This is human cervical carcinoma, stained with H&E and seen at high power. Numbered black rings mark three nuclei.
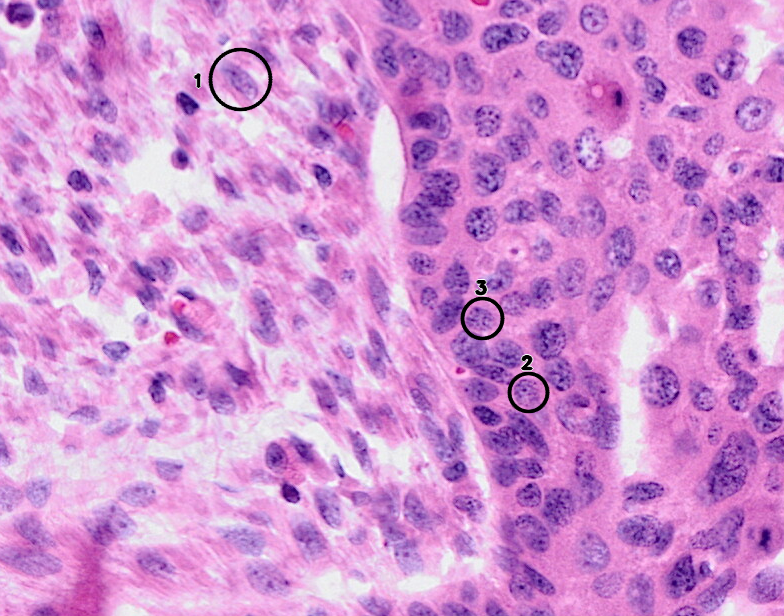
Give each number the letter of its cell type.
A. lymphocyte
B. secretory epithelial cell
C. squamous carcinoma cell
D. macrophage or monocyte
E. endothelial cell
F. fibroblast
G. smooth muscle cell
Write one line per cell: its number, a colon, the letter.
1: F
2: C
3: C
